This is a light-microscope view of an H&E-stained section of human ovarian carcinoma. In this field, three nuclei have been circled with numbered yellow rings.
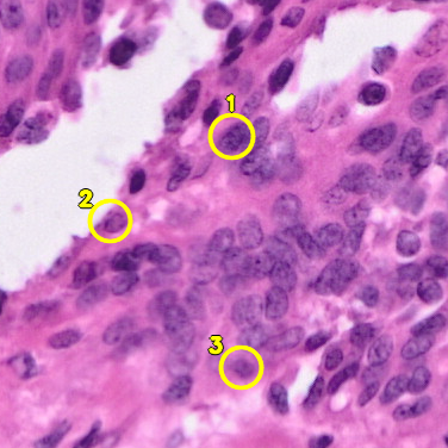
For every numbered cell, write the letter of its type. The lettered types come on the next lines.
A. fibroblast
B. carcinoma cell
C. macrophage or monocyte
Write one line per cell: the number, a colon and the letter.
1: B
2: C
3: B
